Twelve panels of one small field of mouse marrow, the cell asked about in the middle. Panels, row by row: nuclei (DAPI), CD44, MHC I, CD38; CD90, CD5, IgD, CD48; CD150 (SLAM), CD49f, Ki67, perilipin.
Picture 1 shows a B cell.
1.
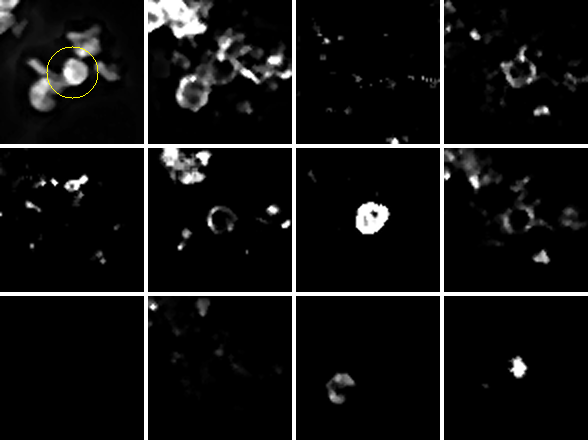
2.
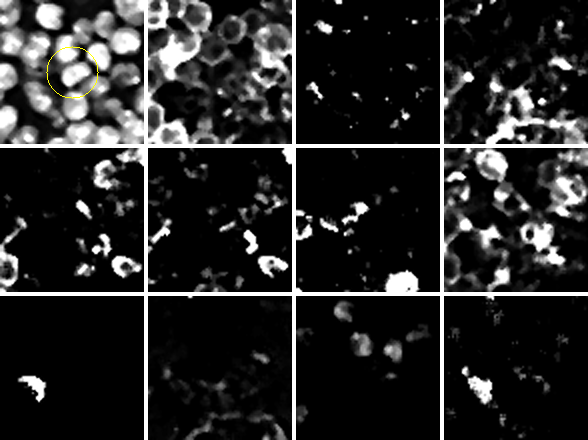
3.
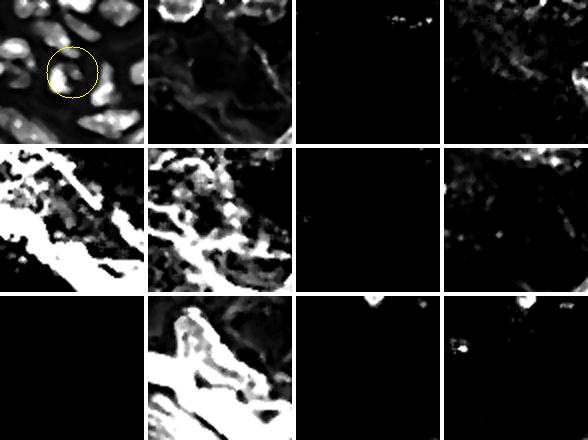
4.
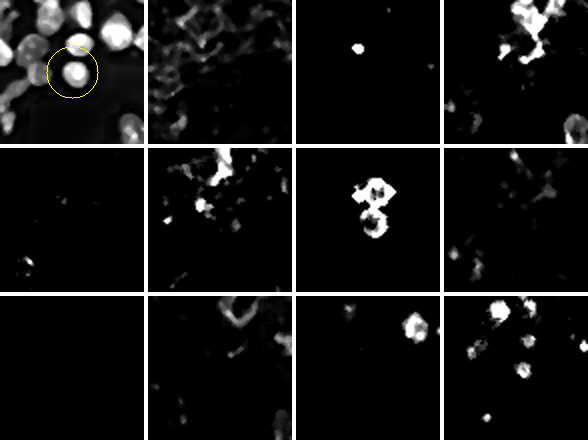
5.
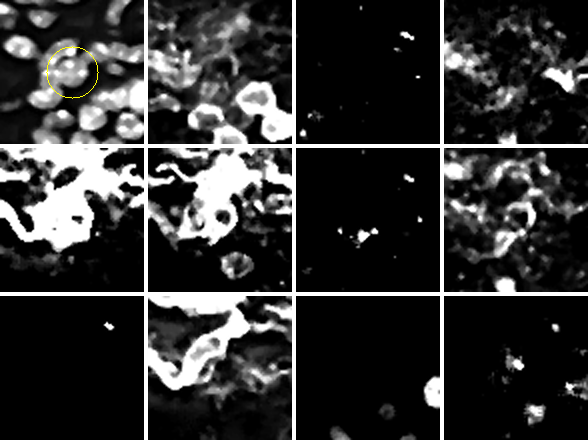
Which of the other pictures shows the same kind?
Picture 4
